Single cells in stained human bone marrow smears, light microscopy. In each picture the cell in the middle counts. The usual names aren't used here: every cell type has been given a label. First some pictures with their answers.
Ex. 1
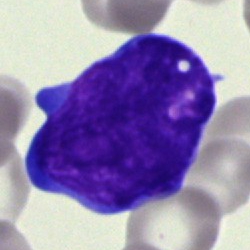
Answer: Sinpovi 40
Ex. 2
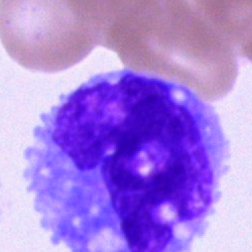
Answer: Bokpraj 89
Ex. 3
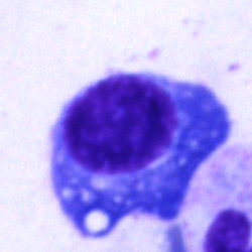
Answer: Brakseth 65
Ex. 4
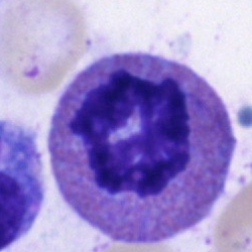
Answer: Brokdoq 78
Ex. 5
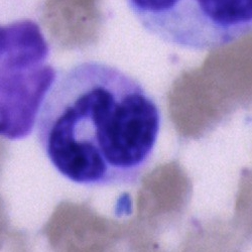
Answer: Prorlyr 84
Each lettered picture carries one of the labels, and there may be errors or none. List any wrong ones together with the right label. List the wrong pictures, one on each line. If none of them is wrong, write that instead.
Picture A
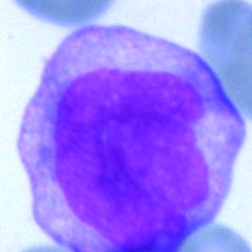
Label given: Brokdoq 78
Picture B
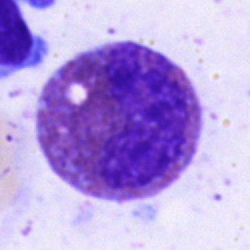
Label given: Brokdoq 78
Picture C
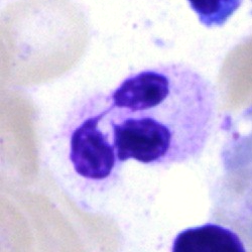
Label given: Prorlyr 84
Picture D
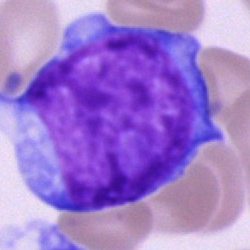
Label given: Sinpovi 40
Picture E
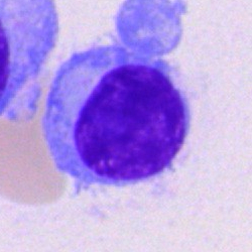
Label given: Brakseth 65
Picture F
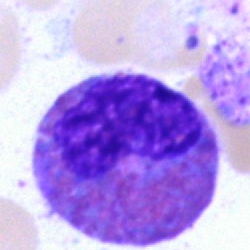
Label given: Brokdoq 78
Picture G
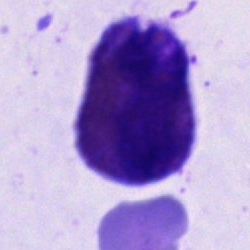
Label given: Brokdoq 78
A: change Brokdoq 78 to Sinpovi 40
